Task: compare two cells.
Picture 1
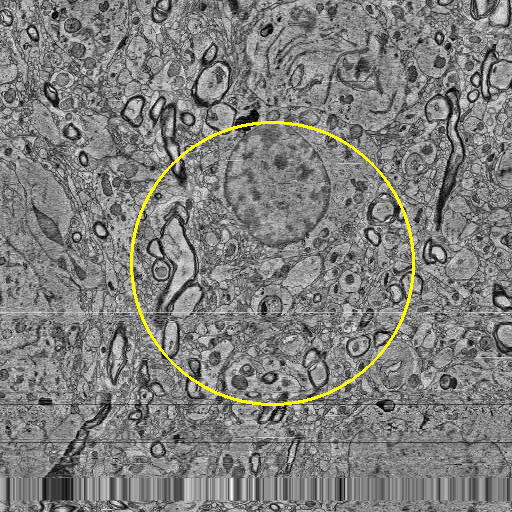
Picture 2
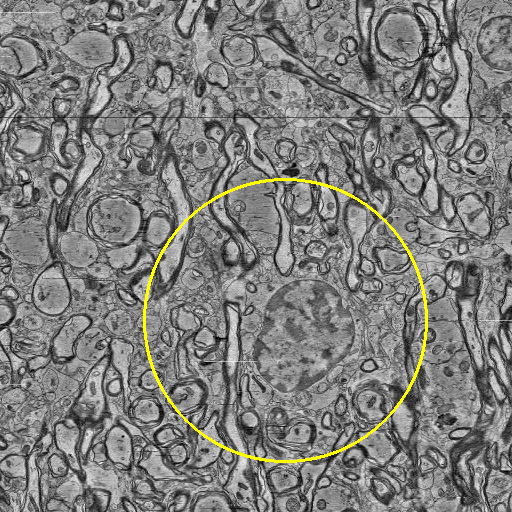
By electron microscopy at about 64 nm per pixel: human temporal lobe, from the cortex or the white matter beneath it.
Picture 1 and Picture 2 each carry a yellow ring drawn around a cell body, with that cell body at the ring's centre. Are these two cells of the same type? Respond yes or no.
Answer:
no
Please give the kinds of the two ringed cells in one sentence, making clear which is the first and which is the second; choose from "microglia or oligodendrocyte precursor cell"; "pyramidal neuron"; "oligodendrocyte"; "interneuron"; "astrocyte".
In the second picture the ringed cell is a microglial cell or oligodendrocyte precursor cell; in the first it is an oligodendrocyte.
